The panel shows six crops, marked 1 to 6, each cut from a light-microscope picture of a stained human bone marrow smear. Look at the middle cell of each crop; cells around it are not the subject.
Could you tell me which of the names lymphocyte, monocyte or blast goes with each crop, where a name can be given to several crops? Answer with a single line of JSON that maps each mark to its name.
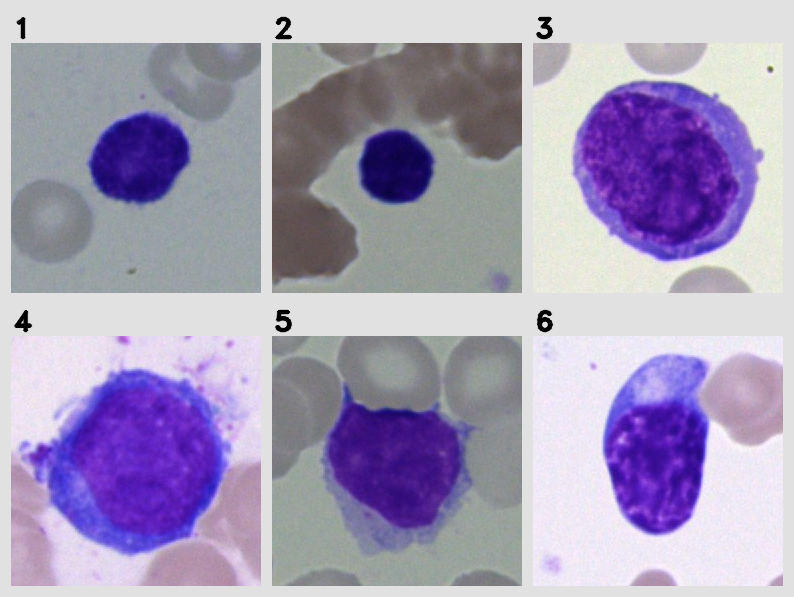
{"1": "lymphocyte", "2": "lymphocyte", "3": "blast", "4": "blast", "5": "lymphocyte", "6": "blast"}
